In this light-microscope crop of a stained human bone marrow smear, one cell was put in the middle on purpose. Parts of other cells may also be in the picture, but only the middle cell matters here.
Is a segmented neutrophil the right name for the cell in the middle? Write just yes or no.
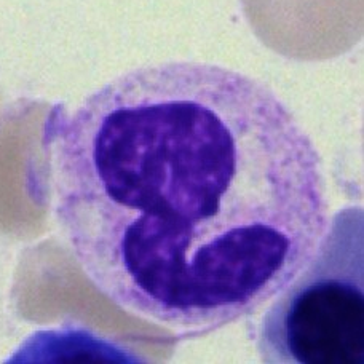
yes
